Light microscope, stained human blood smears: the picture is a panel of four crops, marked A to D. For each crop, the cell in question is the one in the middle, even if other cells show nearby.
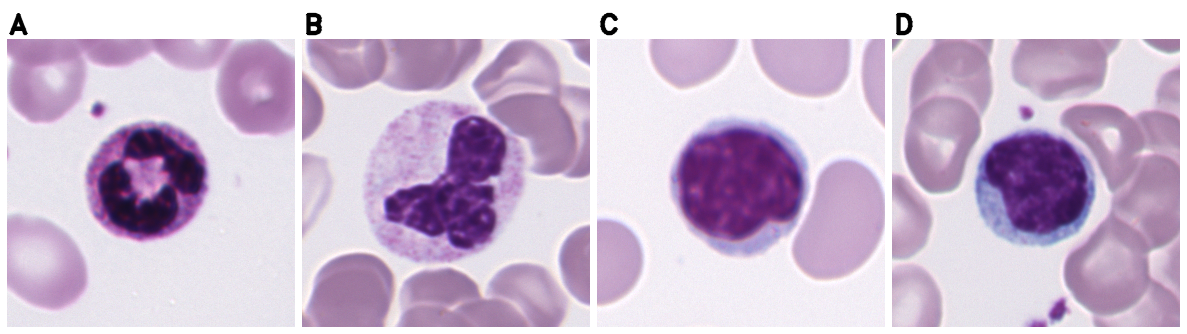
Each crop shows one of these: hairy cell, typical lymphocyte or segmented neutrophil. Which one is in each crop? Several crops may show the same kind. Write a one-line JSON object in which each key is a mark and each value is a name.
{"A": "segmented neutrophil", "B": "segmented neutrophil", "C": "typical lymphocyte", "D": "typical lymphocyte"}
